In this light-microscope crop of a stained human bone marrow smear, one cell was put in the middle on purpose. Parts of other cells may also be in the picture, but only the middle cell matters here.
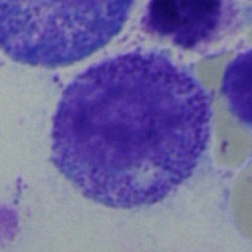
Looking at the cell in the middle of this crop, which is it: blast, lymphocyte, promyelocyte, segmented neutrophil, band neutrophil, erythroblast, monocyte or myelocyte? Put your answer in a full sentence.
The cell at the middle of the crop is recognized as a myelocyte.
